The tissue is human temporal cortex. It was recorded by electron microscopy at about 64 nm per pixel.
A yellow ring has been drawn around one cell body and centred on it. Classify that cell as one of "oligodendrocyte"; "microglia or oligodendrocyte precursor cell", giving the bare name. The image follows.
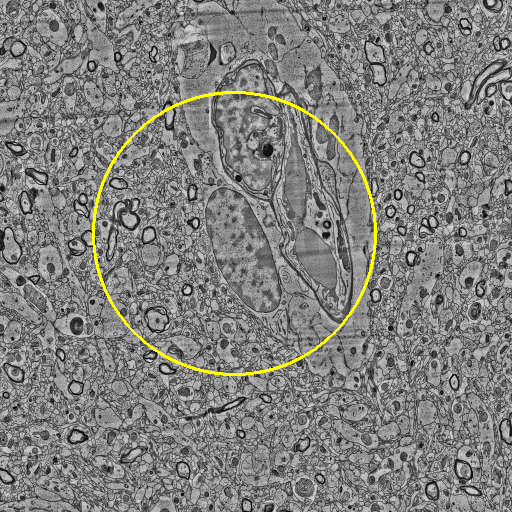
microglia or oligodendrocyte precursor cell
